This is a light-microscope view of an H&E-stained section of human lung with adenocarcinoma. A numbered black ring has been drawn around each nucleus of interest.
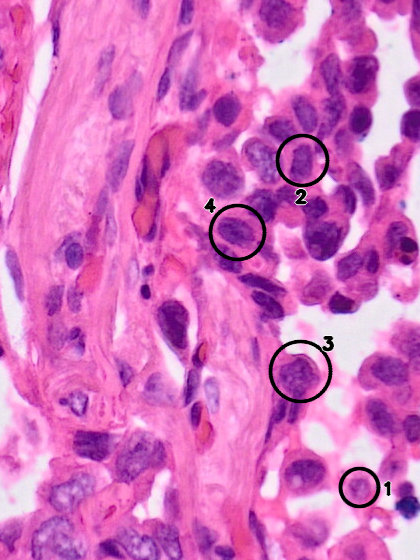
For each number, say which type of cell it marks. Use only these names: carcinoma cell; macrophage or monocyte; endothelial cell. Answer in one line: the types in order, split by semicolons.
macrophage or monocyte; carcinoma cell; carcinoma cell; carcinoma cell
